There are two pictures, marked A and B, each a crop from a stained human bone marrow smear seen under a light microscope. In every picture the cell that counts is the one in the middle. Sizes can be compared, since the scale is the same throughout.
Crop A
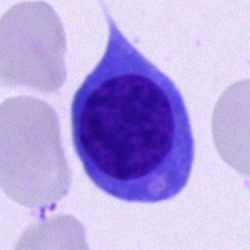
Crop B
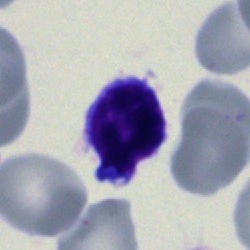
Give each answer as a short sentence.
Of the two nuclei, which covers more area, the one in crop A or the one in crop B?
Crop A shows the larger nucleus; it covers about 1.5 times the area of the nucleus in crop B.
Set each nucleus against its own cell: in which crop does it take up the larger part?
It is the cell in crop B that is filled more by its nucleus.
